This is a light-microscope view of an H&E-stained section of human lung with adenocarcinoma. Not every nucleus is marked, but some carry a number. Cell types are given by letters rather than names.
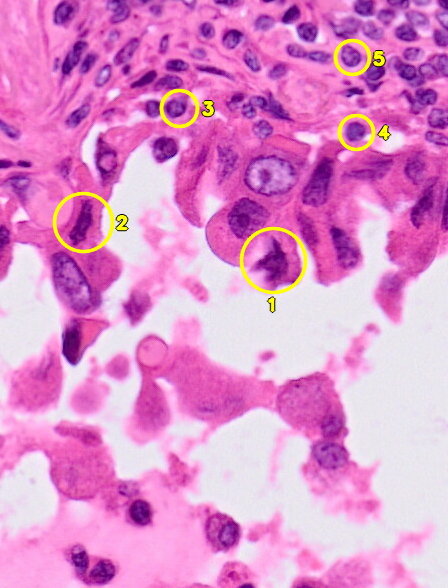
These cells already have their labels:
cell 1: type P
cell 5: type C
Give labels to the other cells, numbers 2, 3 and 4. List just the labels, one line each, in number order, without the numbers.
type P
type C
type C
